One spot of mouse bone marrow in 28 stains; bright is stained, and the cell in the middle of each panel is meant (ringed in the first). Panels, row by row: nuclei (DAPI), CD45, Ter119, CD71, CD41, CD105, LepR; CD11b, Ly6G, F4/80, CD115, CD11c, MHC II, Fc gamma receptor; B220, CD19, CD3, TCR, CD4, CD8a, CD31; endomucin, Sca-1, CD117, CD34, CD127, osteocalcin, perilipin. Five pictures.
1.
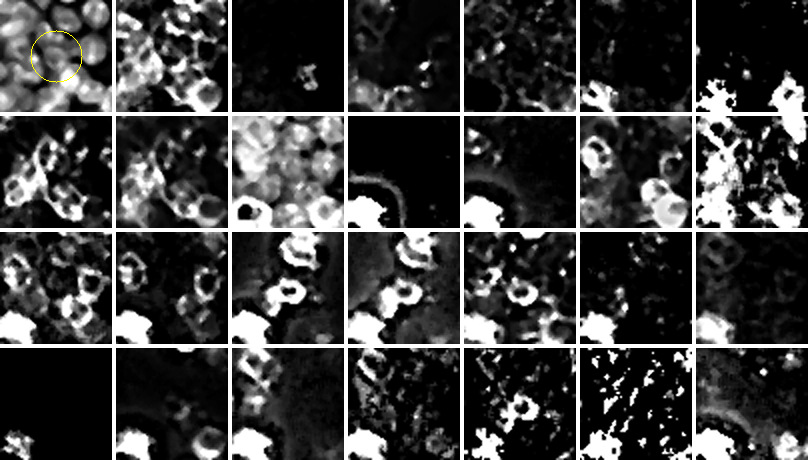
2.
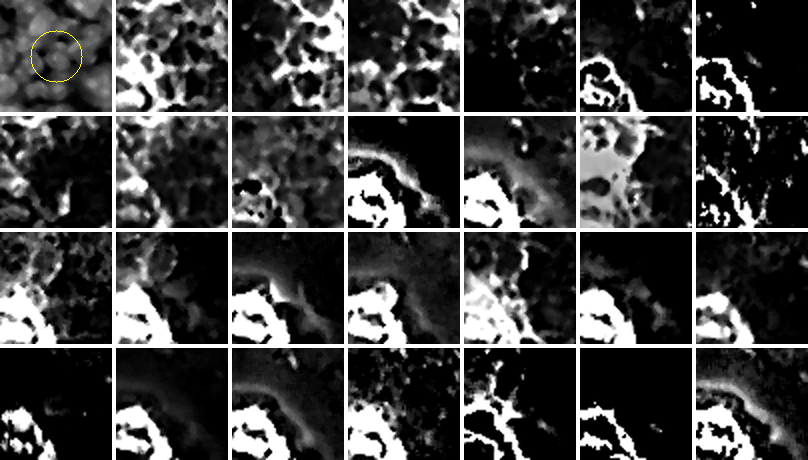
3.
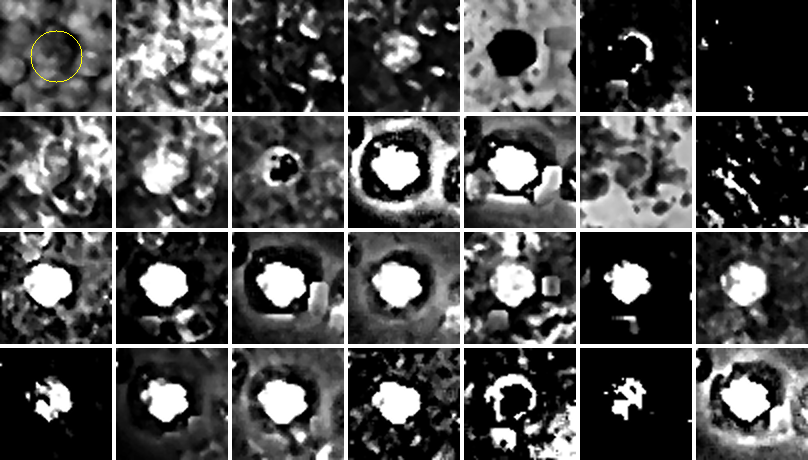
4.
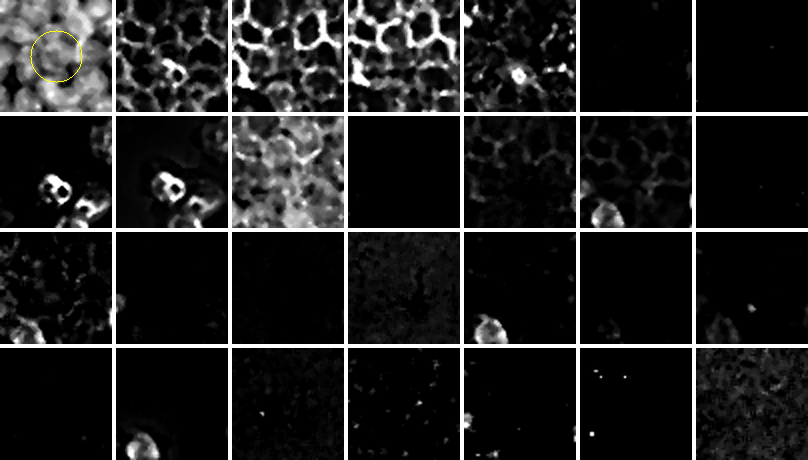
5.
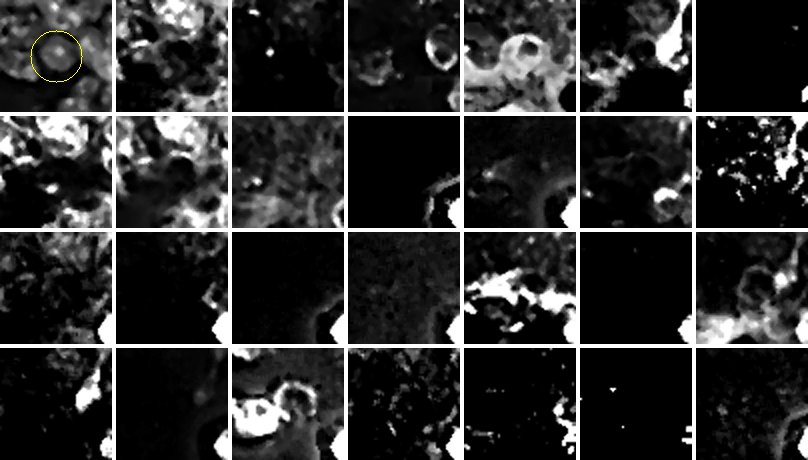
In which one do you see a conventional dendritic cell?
In picture 2.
